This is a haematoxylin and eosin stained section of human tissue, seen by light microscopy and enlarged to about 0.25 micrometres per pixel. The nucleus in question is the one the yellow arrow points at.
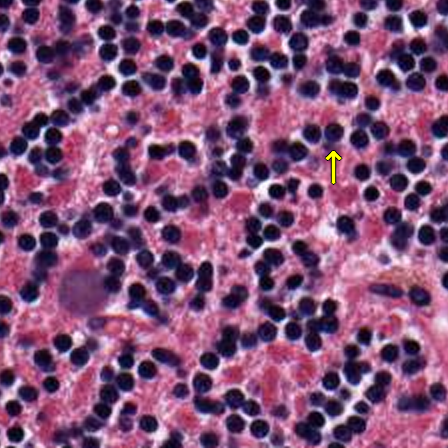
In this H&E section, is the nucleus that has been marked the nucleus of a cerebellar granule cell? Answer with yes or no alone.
yes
